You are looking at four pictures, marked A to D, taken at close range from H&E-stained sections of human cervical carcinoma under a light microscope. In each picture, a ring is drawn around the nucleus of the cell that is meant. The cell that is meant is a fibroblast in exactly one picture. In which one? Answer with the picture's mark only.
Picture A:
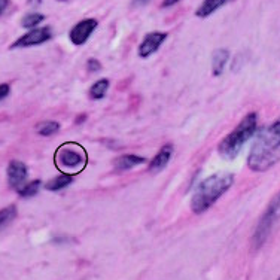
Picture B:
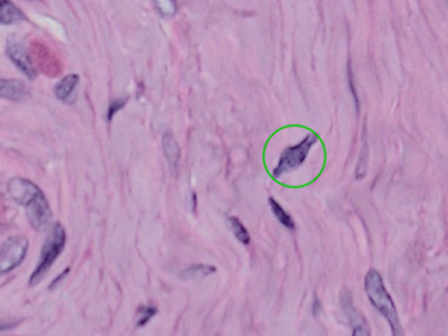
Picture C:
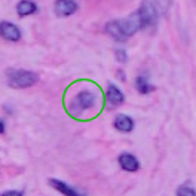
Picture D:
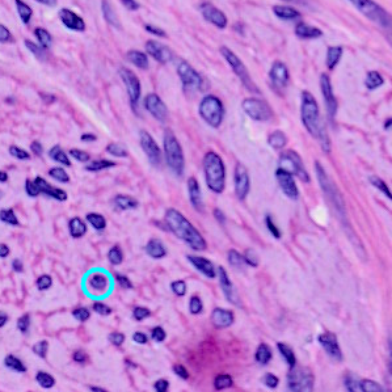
B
